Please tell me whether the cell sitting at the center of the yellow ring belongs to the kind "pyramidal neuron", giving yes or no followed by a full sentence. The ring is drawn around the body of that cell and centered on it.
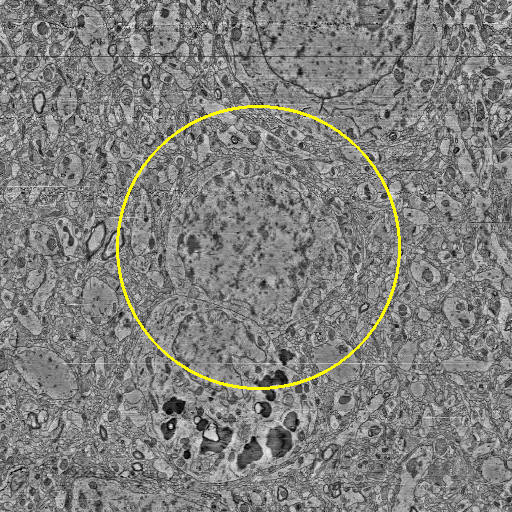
No, the cell at the center of the ring in the picture is of another kind.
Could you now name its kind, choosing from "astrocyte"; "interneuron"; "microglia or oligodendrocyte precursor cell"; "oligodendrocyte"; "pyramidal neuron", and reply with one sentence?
The cell ringed in the picture is an interneuron.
